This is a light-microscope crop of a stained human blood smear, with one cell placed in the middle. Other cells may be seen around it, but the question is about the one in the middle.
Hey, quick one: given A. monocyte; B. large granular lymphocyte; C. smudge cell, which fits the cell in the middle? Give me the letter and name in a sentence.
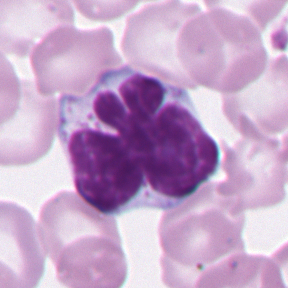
Since the middle cell is a large granular lymphocyte, option B is the right one.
